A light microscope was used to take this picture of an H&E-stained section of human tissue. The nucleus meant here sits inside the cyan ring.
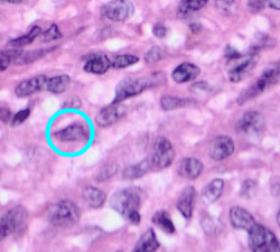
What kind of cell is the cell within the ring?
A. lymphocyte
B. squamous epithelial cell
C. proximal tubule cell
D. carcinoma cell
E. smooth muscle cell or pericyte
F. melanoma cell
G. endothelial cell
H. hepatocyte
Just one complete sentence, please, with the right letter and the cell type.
The correct pick is option F; the cell within the ring is a melanoma cell.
